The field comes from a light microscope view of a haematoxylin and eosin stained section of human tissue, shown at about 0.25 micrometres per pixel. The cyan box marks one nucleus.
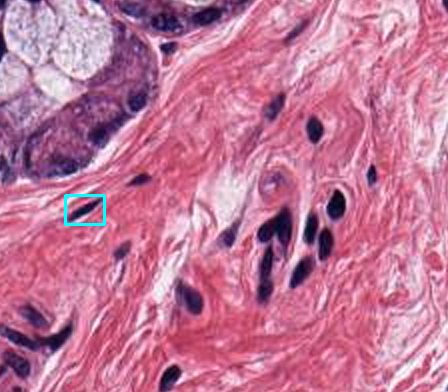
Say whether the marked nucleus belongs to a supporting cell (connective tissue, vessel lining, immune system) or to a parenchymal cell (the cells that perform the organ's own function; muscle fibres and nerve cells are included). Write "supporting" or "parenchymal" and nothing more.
supporting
